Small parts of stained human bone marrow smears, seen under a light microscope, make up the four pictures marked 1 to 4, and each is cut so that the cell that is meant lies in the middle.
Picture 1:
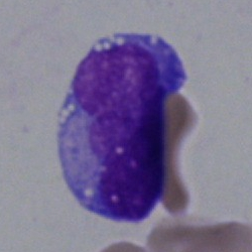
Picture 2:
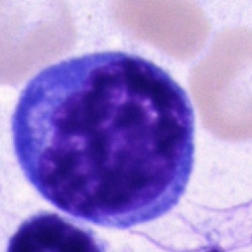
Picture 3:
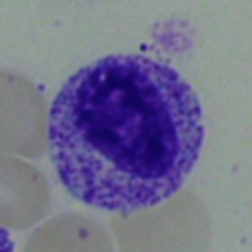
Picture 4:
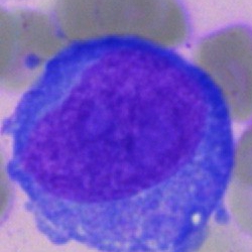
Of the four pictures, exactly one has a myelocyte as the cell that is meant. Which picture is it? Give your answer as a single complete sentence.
The picture with the myelocyte is 3.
